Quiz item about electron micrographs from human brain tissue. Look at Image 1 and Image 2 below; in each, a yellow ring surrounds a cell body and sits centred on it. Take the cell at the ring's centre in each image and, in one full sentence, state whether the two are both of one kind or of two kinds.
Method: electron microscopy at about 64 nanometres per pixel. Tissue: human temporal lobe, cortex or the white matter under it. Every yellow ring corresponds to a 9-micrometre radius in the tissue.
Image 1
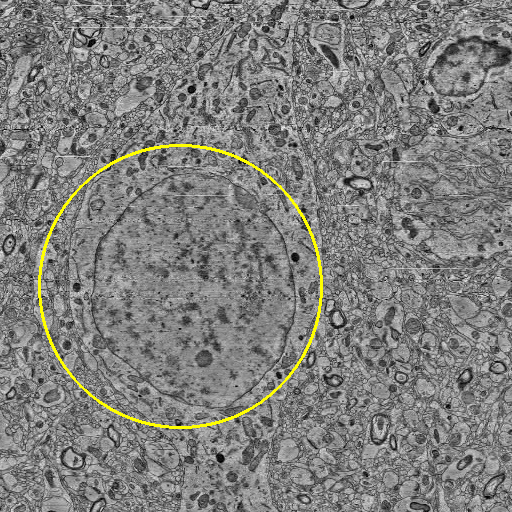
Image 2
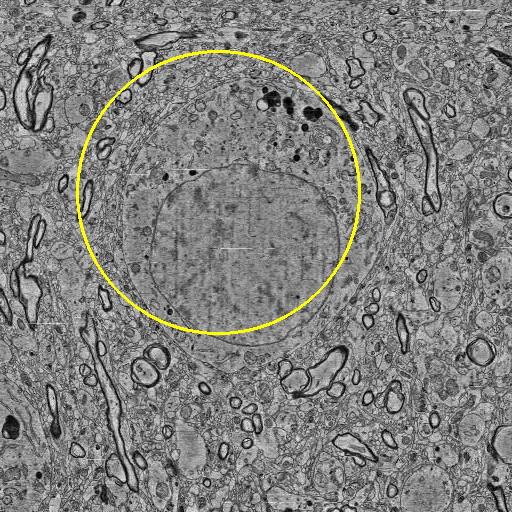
In Image 1 and Image 2, the cells at the ring centres are of two kinds.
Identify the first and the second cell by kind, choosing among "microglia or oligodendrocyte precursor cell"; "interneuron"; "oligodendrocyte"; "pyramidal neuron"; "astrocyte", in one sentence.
The one in the first picture is an interneuron, while the one in the second is a pyramidal neuron.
